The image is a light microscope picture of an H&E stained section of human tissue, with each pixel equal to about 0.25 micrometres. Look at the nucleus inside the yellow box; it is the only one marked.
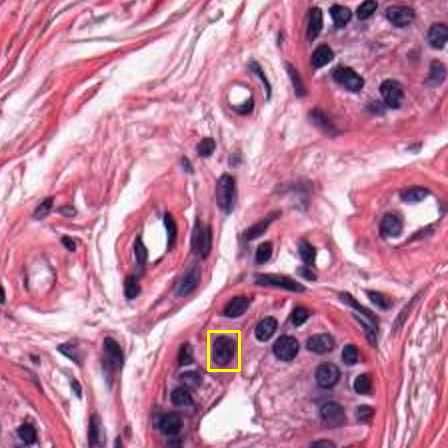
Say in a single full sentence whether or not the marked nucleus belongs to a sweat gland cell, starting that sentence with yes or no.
Yes, within this field the marked nucleus is that of a sweat gland cell.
